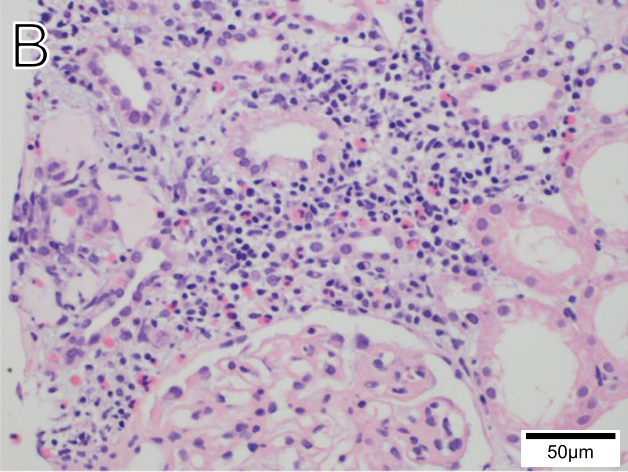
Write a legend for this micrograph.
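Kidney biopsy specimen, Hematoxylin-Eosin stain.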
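The renal interstitium between tubules is packed with an inflammatory infiltrate containing many eosinophils. Eosinophils stand out by their bright pink-red cytoplasm, scattered among numerous small round dark-nucleated cells. The surrounding tubules are lined by pale pink epithelium with round nuclei and are pushed apart by the infiltrate. Part of a glomerulus lies at the lower edge.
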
